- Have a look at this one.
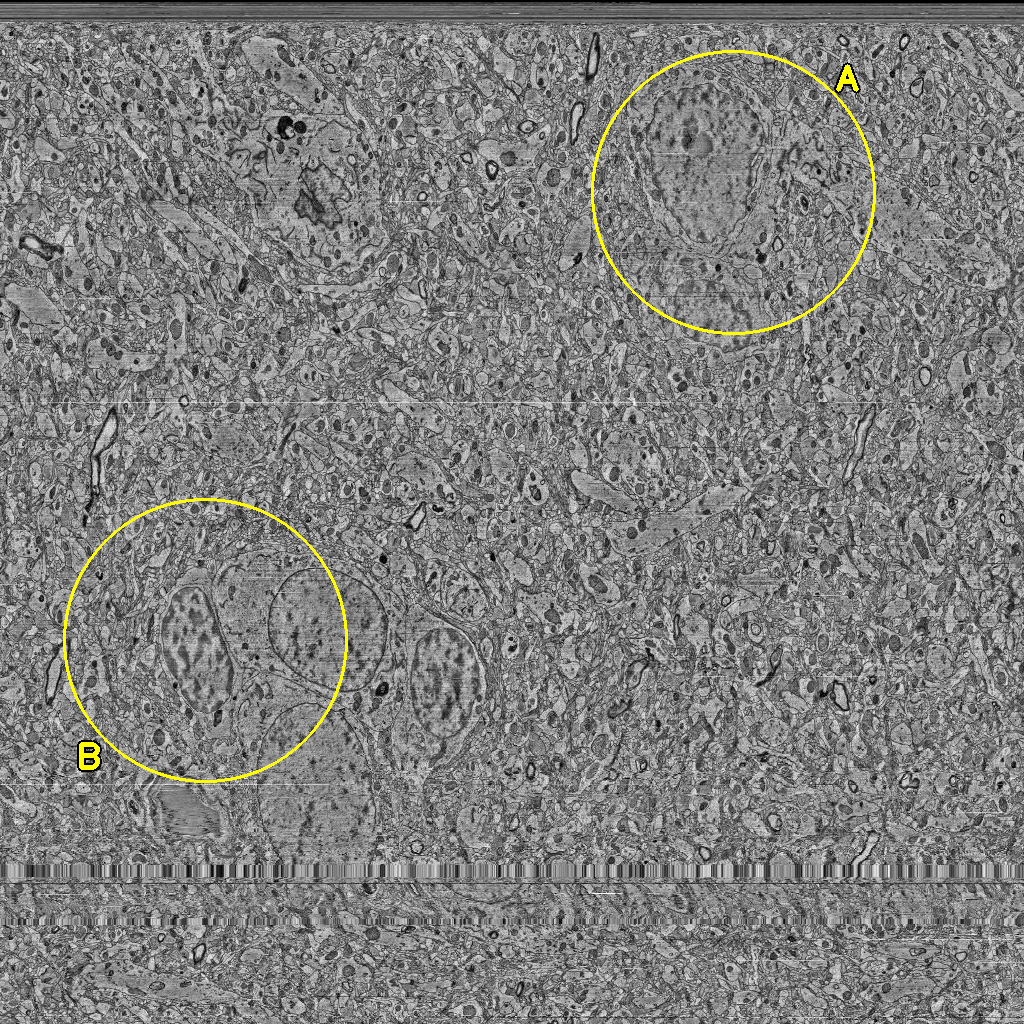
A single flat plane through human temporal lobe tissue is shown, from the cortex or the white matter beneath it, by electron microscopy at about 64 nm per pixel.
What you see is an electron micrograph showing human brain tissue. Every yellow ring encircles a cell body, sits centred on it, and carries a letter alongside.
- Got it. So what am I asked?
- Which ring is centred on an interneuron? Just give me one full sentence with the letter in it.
The cell asked for sits in the centre of the ring lettered A.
